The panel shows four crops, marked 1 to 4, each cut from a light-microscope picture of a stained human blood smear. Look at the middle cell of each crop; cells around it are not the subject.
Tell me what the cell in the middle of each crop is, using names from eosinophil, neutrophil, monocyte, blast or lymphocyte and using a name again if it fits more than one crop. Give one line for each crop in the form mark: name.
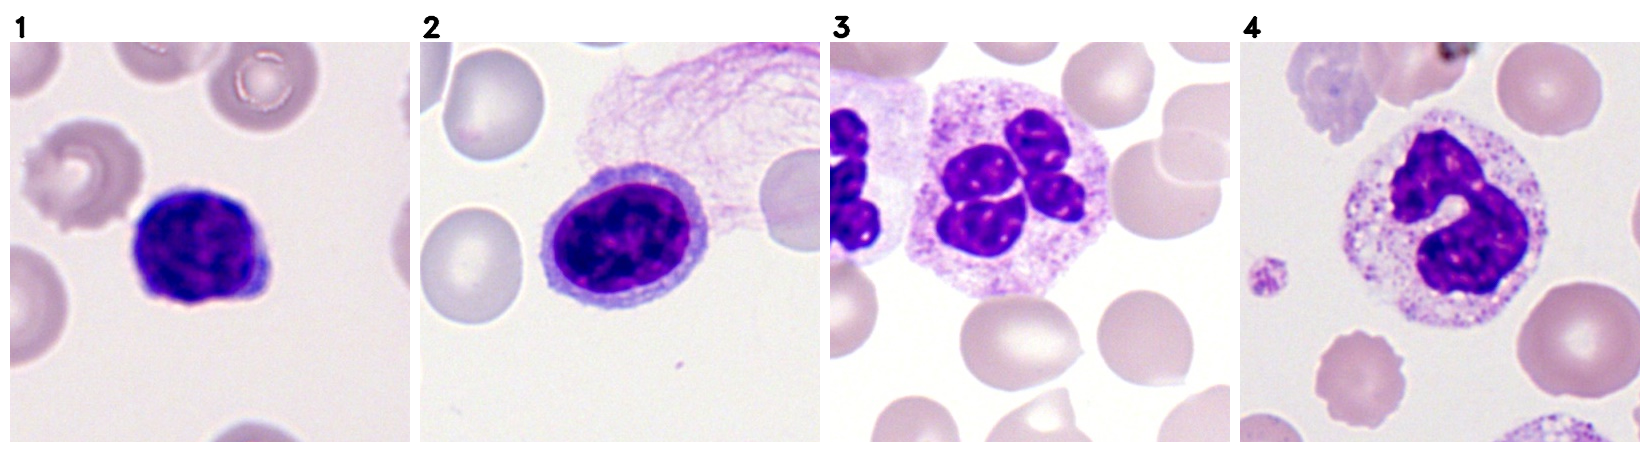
1: lymphocyte
2: lymphocyte
3: neutrophil
4: neutrophil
